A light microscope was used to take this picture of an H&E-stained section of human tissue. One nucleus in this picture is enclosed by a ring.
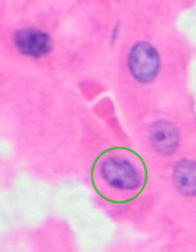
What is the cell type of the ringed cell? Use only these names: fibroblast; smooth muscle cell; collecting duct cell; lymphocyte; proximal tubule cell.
proximal tubule cell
